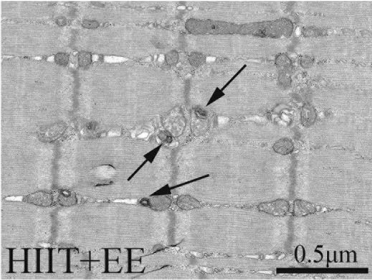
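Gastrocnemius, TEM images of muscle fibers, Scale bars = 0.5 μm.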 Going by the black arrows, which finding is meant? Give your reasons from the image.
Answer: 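The arrows point to small round membrane-bound bodies between myofibrils. The bodies lie among mitochondria in the intermyofibrillar spaces.
Hence: autophagic changes.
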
